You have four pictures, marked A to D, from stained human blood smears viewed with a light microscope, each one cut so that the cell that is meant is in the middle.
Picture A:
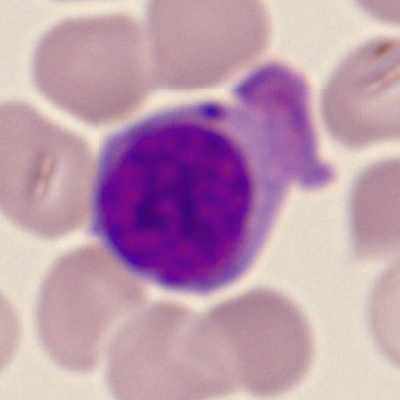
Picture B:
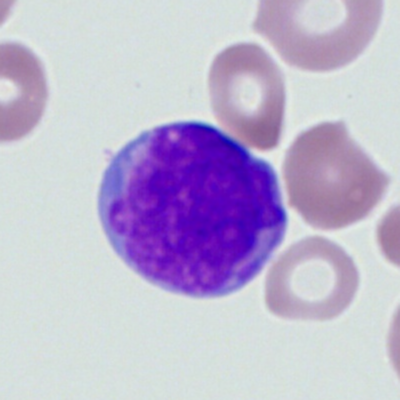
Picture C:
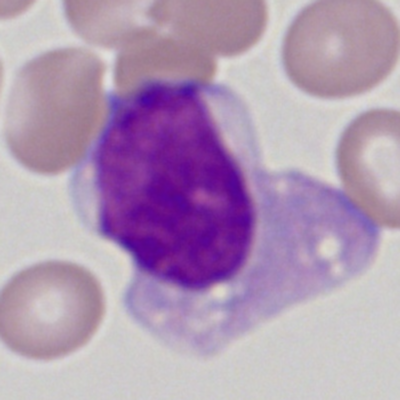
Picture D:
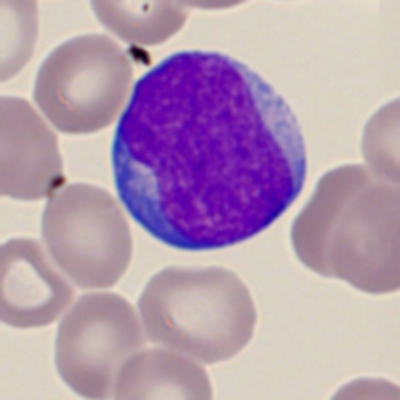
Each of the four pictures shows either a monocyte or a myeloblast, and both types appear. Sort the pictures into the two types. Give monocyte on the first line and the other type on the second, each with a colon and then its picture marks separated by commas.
monocyte: C
myeloblast: A, B, D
